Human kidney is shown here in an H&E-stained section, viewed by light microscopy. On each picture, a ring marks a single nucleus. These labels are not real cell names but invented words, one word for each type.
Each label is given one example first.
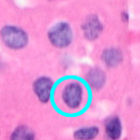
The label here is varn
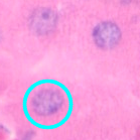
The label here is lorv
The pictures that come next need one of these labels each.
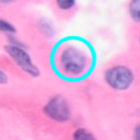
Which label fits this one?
varn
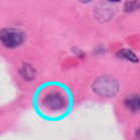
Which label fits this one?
varn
